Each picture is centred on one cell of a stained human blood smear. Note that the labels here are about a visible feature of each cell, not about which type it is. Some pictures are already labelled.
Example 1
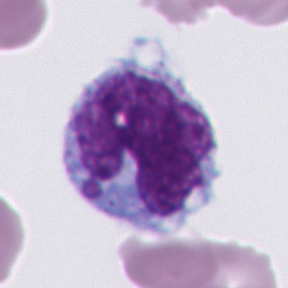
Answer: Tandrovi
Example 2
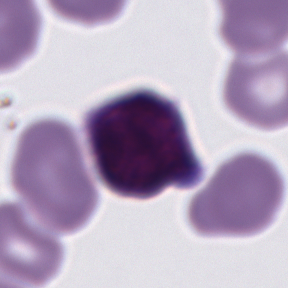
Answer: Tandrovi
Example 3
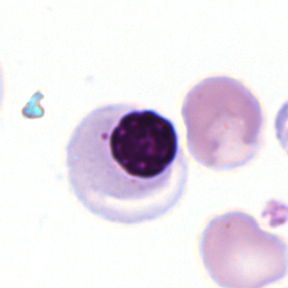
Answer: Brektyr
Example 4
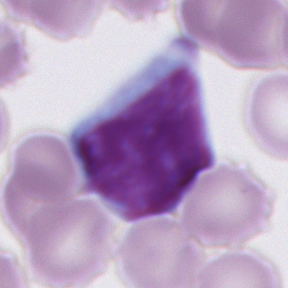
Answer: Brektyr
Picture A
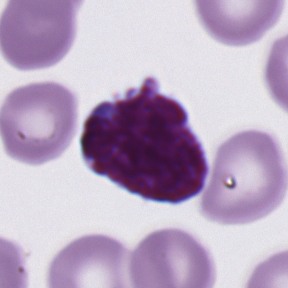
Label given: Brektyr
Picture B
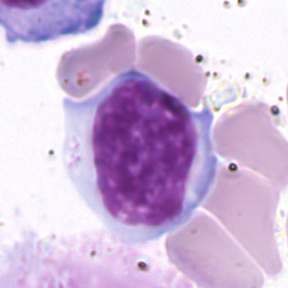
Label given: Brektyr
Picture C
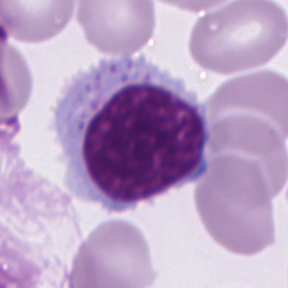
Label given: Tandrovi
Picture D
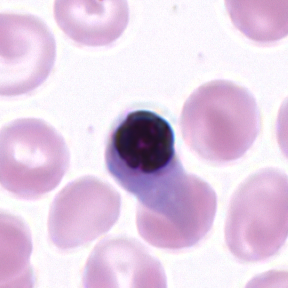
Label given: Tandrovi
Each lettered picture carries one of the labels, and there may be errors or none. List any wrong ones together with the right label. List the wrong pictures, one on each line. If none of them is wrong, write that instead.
A: Tandrovi, not Brektyr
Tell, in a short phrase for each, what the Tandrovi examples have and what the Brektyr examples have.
In Tandrovi: ragged outline or projections. In Brektyr: smooth outline.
